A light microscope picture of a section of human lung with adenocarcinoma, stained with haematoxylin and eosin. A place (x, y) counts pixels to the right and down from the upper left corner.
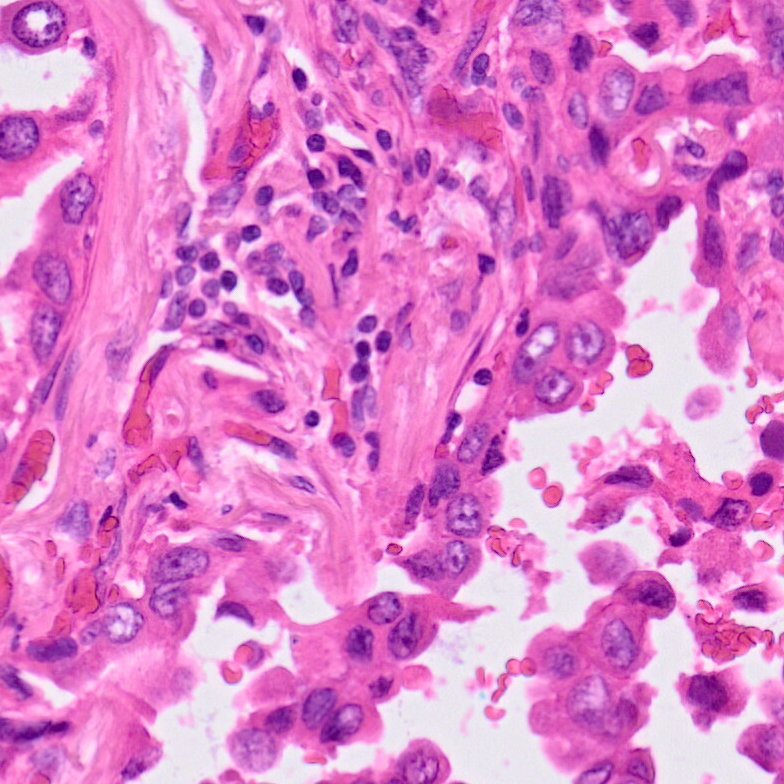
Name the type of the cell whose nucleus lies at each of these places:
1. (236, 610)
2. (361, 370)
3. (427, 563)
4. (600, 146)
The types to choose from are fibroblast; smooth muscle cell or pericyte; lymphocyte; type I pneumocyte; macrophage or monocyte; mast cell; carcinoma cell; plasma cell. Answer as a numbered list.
1. carcinoma cell
2. lymphocyte
3. carcinoma cell
4. carcinoma cell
